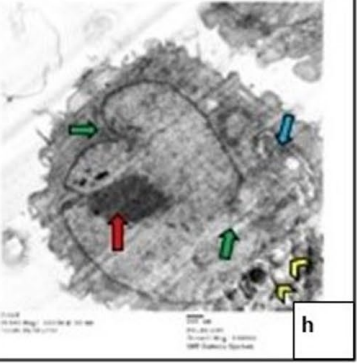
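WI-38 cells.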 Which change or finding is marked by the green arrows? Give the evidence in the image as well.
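Irregular nuclear membrane. The nuclear outline is indented and uneven. The green arrows point to the nuclear envelope.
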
